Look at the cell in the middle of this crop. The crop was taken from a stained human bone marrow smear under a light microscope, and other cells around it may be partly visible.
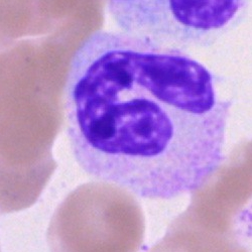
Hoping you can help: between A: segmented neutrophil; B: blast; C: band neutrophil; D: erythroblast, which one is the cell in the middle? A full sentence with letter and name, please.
Option C is correct, and the cell in the centre is a band neutrophil.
